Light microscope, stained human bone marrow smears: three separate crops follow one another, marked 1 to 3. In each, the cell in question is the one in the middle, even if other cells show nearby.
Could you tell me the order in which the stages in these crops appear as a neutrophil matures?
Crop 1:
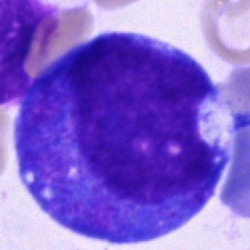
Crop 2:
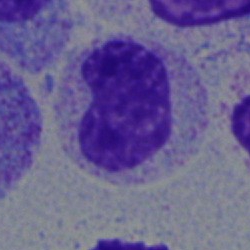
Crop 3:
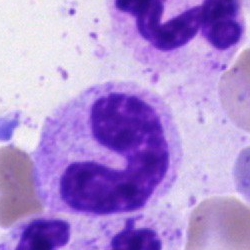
1, 2, 3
